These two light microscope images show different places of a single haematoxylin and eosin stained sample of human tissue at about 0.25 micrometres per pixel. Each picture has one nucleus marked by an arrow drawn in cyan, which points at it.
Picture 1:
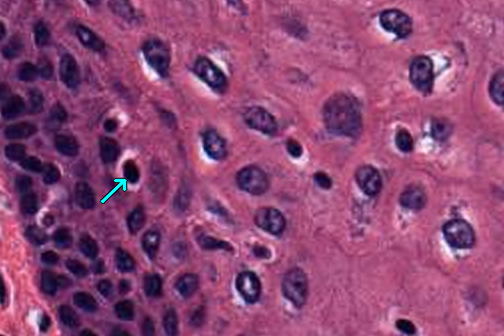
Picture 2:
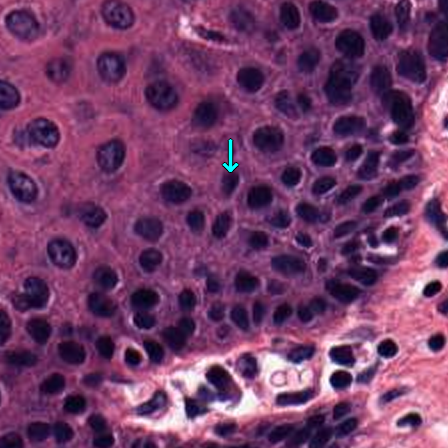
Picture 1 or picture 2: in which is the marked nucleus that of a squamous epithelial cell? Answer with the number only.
2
